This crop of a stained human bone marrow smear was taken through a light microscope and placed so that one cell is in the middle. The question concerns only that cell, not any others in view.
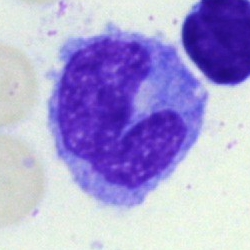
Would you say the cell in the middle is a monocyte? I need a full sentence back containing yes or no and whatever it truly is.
Yes, the cell at the centre is designated a monocyte.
